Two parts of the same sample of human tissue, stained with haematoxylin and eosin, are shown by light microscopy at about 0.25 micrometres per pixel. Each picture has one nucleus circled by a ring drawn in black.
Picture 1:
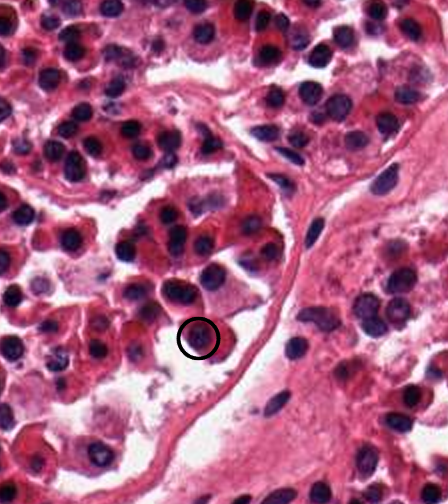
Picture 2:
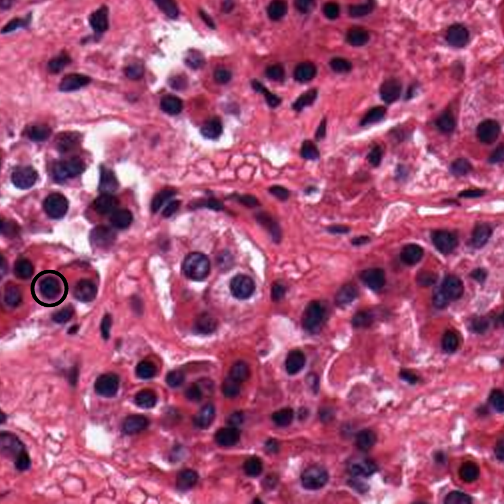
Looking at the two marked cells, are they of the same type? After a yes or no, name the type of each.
Yes, both are anterior pituitary cells.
